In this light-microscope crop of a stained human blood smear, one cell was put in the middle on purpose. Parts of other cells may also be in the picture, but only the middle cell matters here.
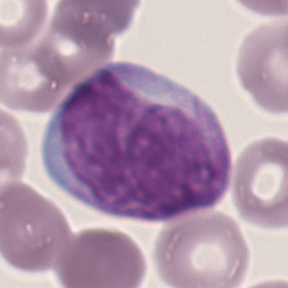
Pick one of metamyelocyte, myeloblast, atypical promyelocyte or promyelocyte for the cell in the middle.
atypical promyelocyte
